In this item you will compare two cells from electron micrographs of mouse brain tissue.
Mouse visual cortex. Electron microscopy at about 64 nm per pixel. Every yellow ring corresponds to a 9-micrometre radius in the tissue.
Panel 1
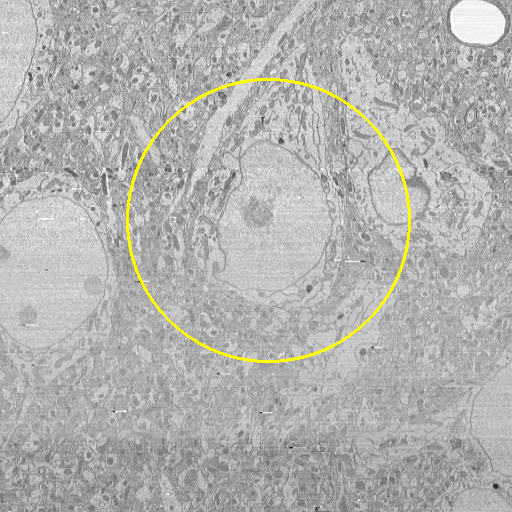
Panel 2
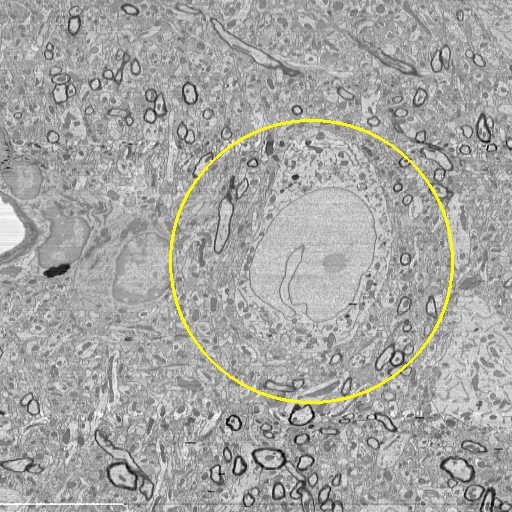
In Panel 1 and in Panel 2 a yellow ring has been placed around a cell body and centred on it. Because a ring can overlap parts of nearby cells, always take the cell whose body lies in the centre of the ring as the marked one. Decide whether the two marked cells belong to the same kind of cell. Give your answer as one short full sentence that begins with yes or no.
Yes, the two marked cells belong to the same kind of cell.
